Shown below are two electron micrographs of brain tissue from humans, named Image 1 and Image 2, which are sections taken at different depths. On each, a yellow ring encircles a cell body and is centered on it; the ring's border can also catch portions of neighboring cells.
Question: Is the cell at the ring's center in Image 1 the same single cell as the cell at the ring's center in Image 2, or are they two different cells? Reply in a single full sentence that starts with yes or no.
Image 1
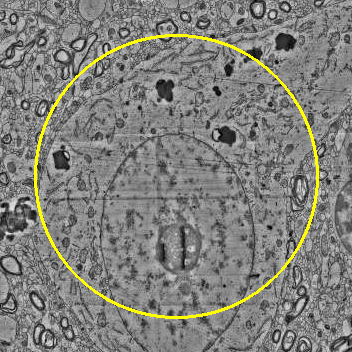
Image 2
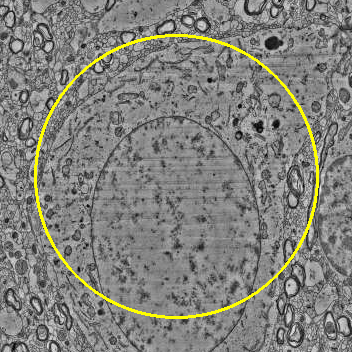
Yes, what the two rings mark is one cell.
